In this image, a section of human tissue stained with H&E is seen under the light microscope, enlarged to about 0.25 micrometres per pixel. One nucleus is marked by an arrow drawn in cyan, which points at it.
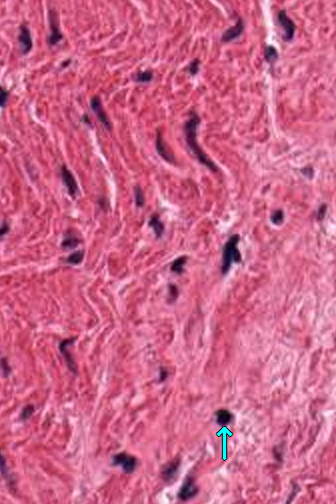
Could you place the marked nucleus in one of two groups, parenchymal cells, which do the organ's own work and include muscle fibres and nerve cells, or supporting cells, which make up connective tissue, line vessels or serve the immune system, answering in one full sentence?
The marked nucleus is part of a supporting cell.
